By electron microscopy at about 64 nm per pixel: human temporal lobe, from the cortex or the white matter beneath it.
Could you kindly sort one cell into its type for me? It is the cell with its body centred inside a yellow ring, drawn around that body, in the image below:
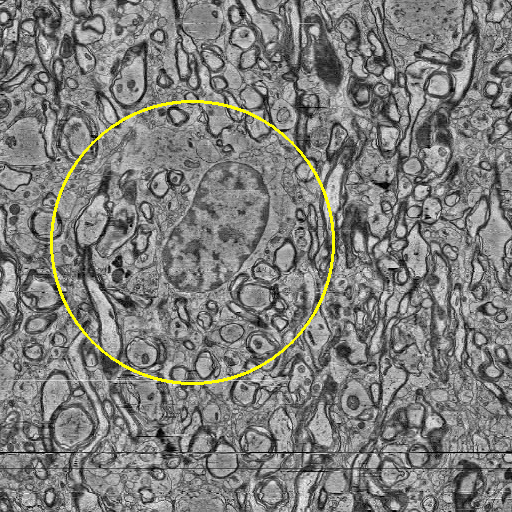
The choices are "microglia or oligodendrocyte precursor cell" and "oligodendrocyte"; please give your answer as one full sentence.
The cell whose body lies centred in the yellow ring here is a microglial cell or oligodendrocyte precursor cell.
